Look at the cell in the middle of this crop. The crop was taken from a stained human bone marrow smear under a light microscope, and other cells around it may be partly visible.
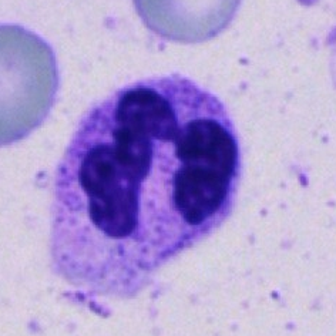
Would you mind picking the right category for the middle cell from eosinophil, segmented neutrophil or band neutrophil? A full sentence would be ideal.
The crop centres on a single cell, and that cell is a segmented neutrophil.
